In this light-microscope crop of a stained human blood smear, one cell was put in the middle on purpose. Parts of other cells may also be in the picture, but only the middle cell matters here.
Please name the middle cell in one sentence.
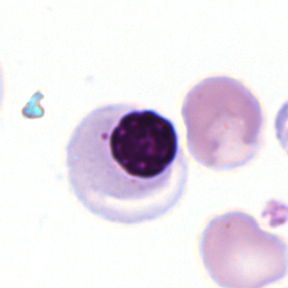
The cell around which this crop is centred is a normoblast.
